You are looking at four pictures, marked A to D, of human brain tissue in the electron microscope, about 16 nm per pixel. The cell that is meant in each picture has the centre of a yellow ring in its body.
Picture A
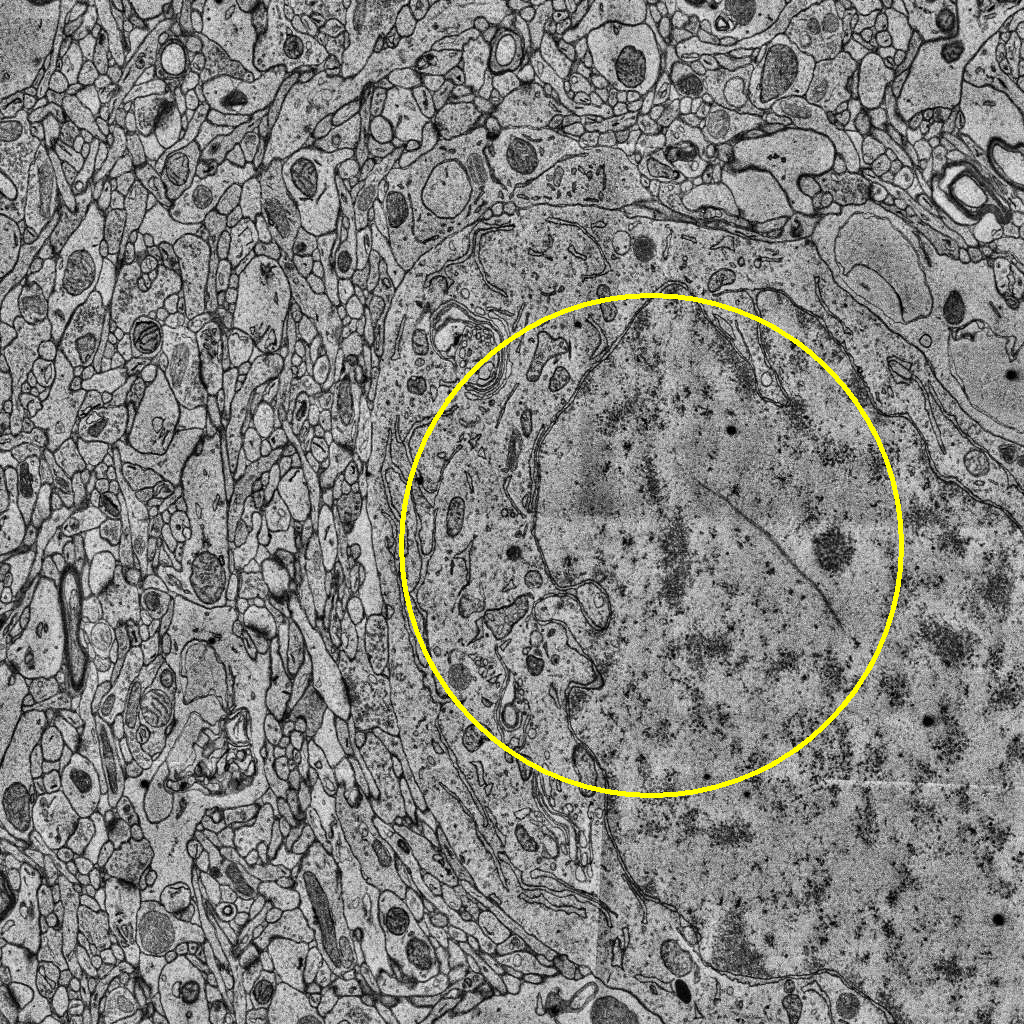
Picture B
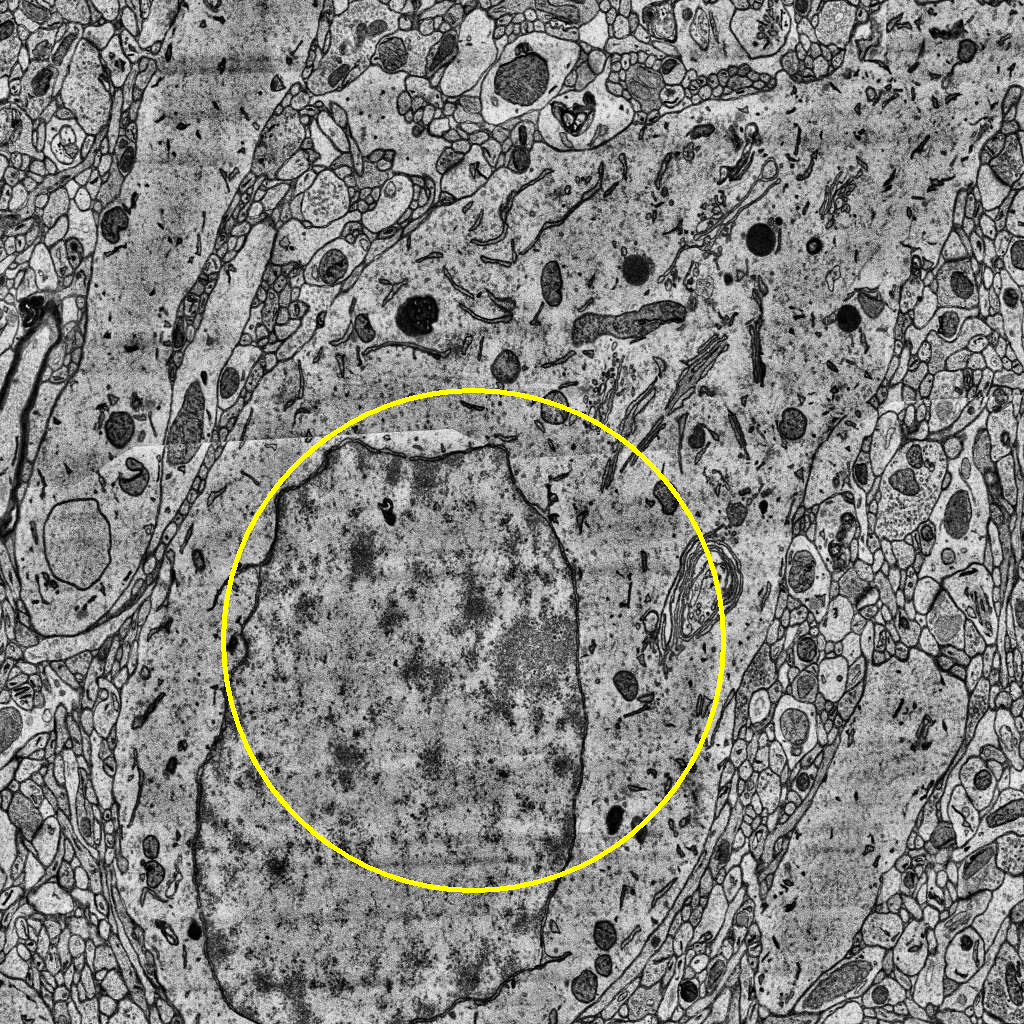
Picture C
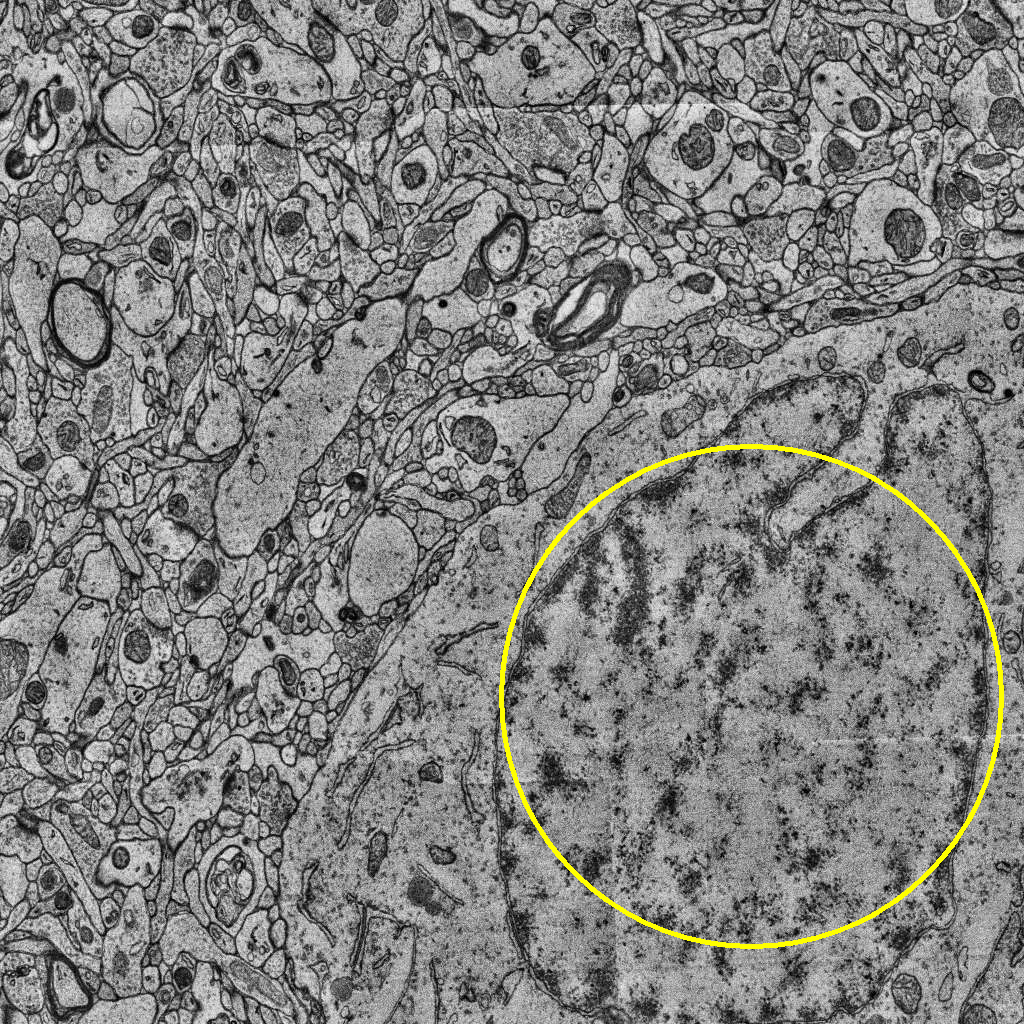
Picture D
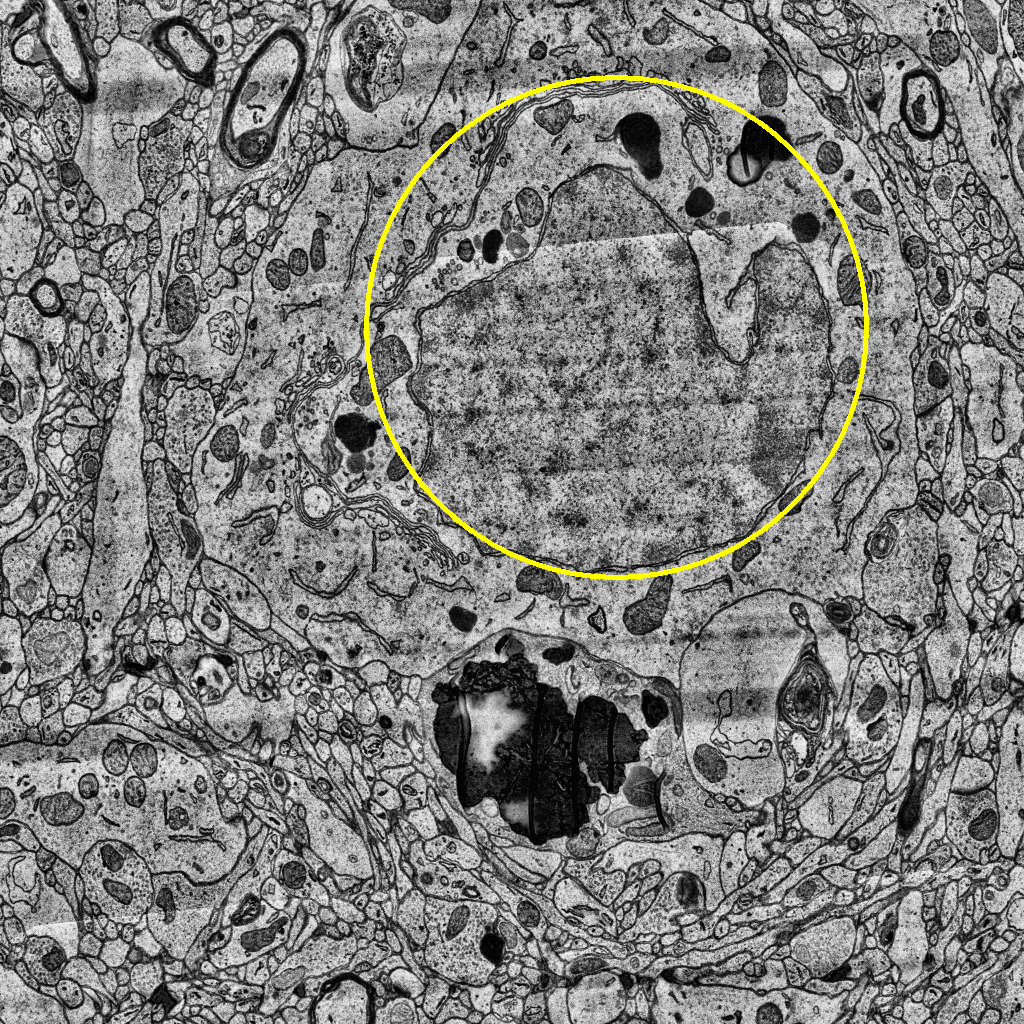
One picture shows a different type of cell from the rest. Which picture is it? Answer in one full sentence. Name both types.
The different one is picture B; it shows a pyramidal neuron, whereas all the others show interneurons.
